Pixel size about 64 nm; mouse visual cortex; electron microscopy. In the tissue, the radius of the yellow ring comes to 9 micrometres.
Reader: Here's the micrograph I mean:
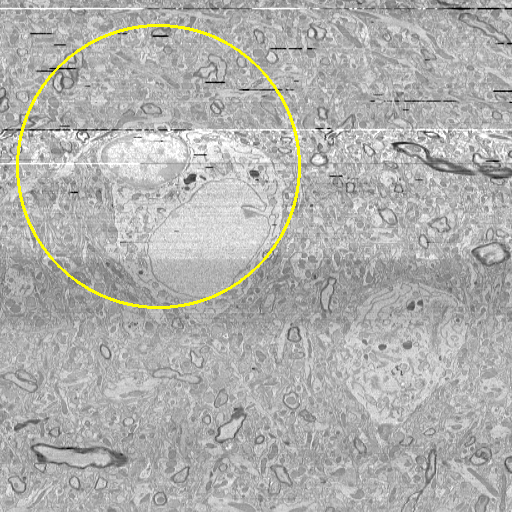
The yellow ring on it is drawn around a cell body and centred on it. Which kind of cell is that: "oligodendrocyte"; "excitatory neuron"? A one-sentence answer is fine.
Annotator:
The ring is centred on an oligodendrocyte.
